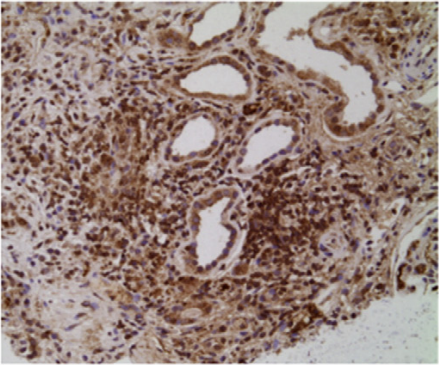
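This is kidney interstitium crowded with densely packed small round cells with dark nuclei, lying between scattered tubules. The infiltrating cells are strongly brown-stained, forming a dense sheet. The tubules have open lumens lined by cuboidal to flattened epithelium. The dense infiltrate indicates a region of inflammation.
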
